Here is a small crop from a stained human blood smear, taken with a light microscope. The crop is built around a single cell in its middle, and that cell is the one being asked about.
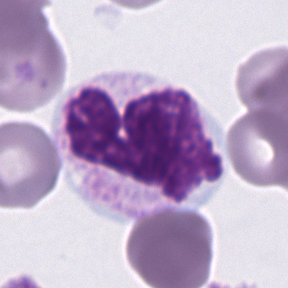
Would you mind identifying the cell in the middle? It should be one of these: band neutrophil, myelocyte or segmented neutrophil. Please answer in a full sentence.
Standing at the centre of this crop is a segmented neutrophil.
